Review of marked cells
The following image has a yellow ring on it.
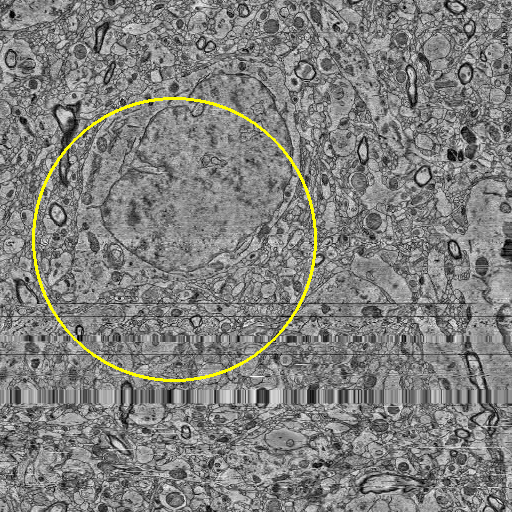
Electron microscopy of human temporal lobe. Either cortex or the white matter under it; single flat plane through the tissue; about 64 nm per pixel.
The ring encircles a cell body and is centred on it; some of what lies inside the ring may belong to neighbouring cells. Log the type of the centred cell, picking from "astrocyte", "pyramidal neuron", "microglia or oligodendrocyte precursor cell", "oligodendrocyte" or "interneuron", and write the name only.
interneuron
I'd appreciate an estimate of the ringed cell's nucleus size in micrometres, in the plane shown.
Roughly 14 by 11 micrometres in this plane, for the nucleus of the ringed cell.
